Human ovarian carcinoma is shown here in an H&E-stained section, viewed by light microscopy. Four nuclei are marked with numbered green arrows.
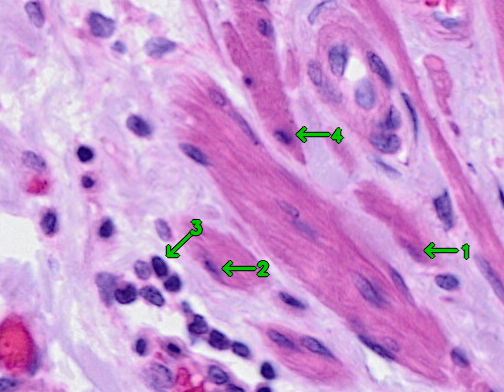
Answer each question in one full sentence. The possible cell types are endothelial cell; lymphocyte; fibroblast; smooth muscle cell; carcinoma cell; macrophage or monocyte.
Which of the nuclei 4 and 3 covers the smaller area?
Nucleus 4 is the smaller one; nucleus 3 covers about 1.5 times its area.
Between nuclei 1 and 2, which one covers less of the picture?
Nucleus 2 covers less area, with nucleus 1 about 1.5 times as large.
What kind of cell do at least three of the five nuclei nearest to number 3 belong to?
Lymphocytes make up most of the five nuclei closest to number 3.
